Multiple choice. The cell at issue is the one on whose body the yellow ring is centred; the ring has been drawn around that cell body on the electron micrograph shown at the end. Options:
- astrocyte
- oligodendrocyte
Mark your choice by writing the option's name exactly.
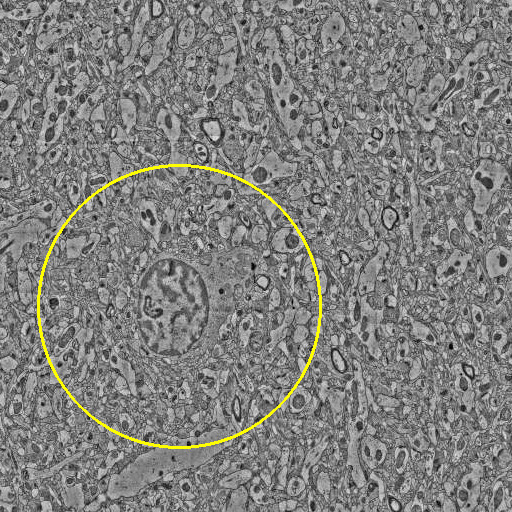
oligodendrocyte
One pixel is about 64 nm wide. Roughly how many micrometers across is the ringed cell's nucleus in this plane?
In this plane, roughly 6 by 5 micrometres.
